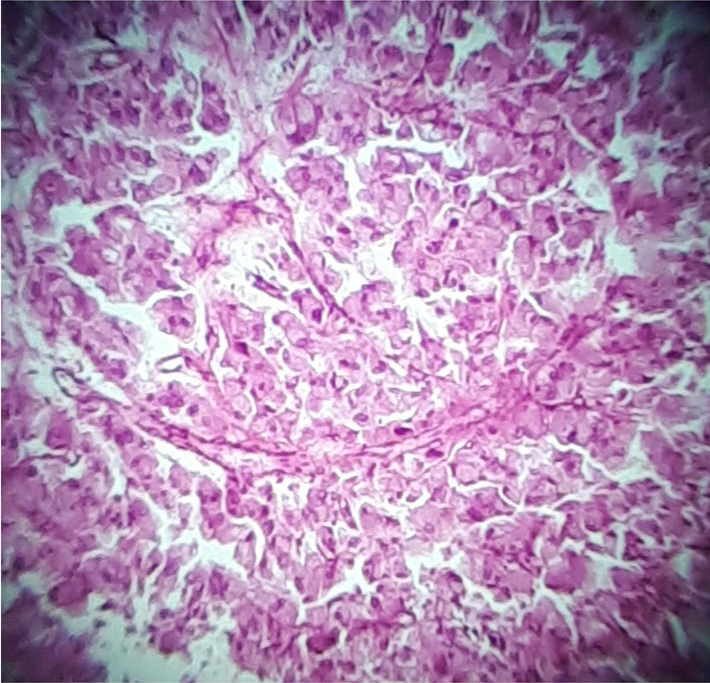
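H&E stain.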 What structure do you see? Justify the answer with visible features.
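Zellballen pattern. Cells are gathered into rounded clusters. The clusters are separated by thin pink strands and pale clefts.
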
